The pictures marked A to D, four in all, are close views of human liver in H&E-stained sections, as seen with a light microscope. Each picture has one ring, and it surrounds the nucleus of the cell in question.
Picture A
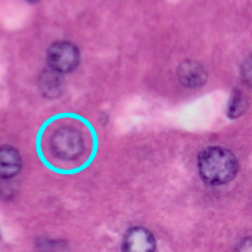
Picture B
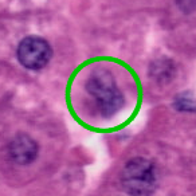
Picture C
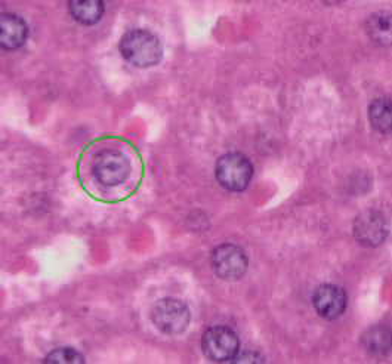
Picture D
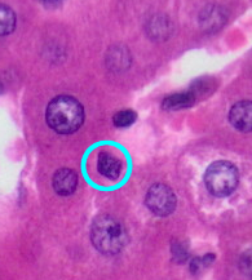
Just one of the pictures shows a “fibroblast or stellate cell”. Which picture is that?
D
